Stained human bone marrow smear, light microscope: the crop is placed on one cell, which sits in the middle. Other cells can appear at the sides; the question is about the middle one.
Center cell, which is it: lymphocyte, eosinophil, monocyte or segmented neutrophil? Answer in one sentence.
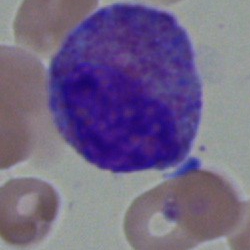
In the centre of this crop there is an eosinophil.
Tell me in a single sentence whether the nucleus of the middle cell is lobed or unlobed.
The cell carries one compact nucleus shaped round, oval or like a kidney.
